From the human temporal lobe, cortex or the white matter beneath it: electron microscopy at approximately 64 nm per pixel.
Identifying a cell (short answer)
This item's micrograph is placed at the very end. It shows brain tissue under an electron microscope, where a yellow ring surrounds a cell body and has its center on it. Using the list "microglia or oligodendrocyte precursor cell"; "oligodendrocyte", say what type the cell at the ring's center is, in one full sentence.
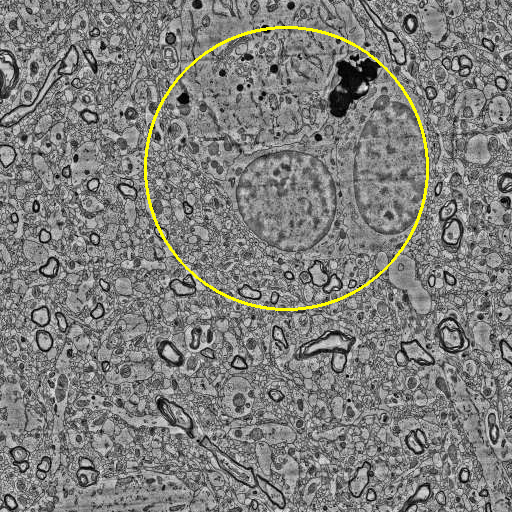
This picture shows an oligodendrocyte at the center of the yellow ring drawn on it.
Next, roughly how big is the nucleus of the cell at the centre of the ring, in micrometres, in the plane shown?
The ringed cell's nucleus is about 6 micrometres across in this plane.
